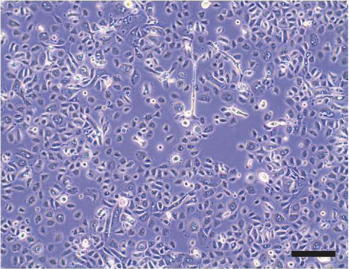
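These are cultured epithelial cells growing as a subconfluent monolayer, seen by phase contrast. Most cells are small and flattened, with a polygonal shape and a central nucleus, and they lie in loose groups with open gaps between them. Scattered among them are a few elongated cells and some small, rounded, bright refractile cells.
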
